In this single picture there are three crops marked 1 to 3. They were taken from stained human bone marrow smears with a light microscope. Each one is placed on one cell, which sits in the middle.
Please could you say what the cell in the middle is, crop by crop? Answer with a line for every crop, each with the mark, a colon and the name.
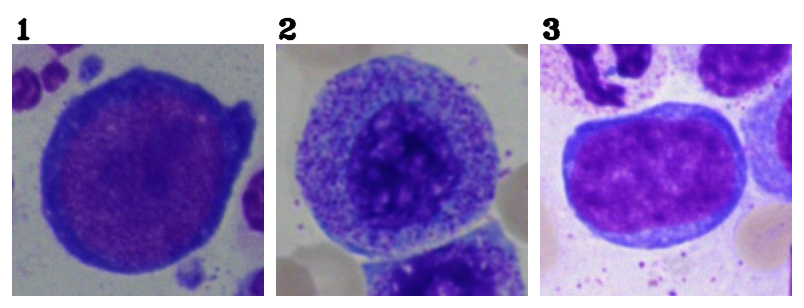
1: proerythroblast
2: promyelocyte
3: proerythroblast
